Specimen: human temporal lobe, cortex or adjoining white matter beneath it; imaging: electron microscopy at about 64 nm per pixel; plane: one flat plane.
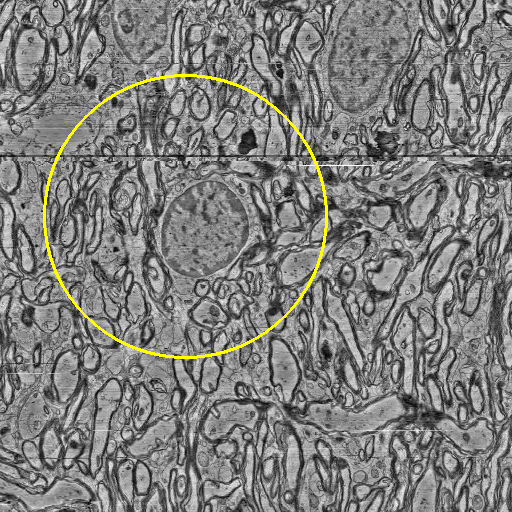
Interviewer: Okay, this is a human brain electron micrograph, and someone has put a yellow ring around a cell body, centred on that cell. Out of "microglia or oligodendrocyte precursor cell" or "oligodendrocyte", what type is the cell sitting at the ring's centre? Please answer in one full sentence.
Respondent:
The cell at the centre of the yellow ring in this picture is a microglial cell or oligodendrocyte precursor cell.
